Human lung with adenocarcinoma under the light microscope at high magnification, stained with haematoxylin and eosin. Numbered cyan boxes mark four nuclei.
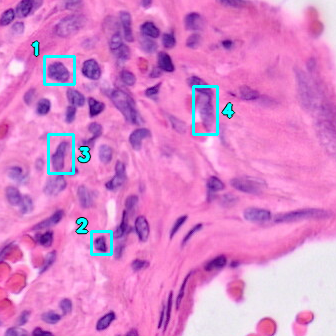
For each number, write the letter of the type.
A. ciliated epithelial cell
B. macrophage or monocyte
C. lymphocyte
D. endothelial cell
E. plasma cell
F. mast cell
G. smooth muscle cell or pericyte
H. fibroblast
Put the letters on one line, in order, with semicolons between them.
C; C; C; D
